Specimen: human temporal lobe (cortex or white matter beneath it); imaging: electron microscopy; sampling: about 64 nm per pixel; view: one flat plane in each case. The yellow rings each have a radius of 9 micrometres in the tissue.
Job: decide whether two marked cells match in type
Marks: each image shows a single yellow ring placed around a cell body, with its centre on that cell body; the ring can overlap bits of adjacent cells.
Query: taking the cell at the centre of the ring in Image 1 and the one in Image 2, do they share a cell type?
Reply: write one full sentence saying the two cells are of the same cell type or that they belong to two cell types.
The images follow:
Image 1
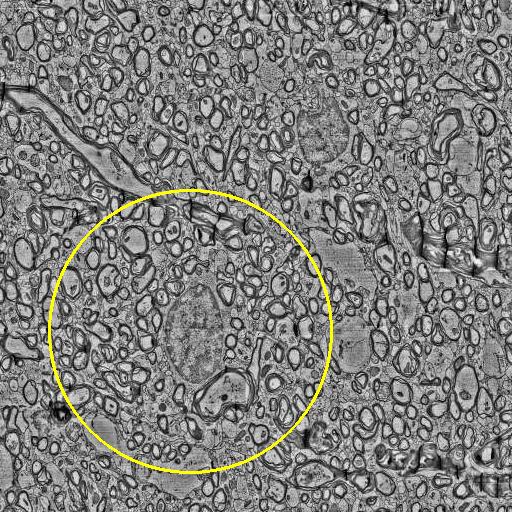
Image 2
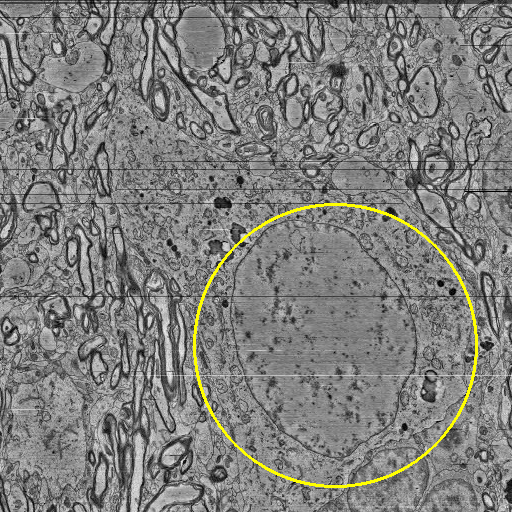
The cells at the ring centres in Image 1 and Image 2 belong to two cell types.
